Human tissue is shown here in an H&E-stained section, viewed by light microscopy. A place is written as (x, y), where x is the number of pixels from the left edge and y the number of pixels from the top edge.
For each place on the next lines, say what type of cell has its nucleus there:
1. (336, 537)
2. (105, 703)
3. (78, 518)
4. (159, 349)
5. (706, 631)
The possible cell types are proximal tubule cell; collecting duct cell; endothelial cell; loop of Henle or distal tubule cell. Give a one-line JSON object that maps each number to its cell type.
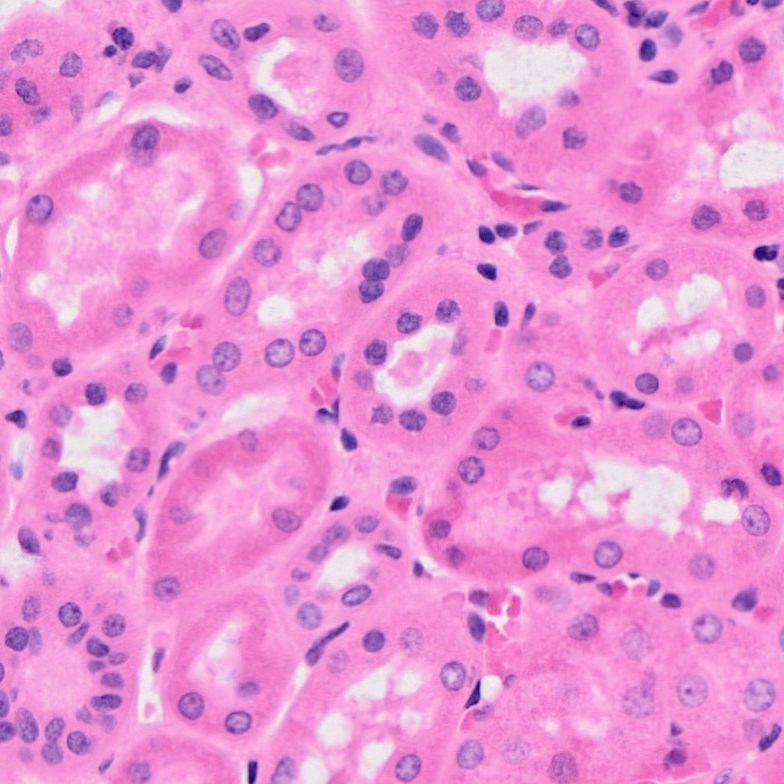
{"1": "collecting duct cell", "2": "collecting duct cell", "3": "loop of Henle or distal tubule cell", "4": "endothelial cell", "5": "proximal tubule cell"}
